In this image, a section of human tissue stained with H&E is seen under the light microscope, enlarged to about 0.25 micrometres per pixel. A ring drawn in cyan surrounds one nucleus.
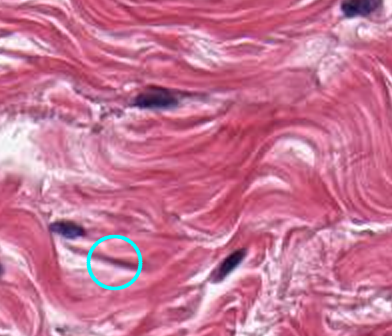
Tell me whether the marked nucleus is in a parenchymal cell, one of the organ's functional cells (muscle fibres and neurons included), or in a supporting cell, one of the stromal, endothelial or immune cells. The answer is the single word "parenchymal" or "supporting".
supporting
